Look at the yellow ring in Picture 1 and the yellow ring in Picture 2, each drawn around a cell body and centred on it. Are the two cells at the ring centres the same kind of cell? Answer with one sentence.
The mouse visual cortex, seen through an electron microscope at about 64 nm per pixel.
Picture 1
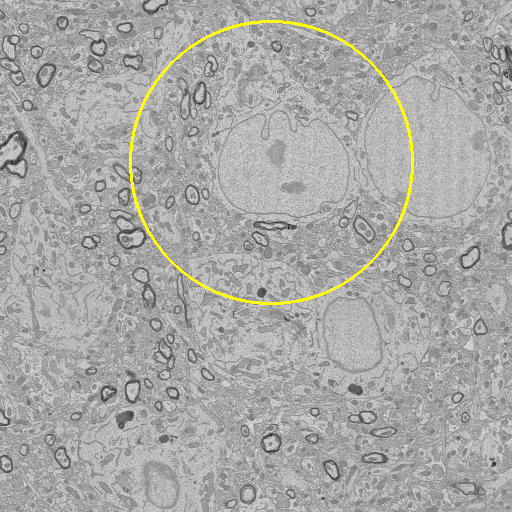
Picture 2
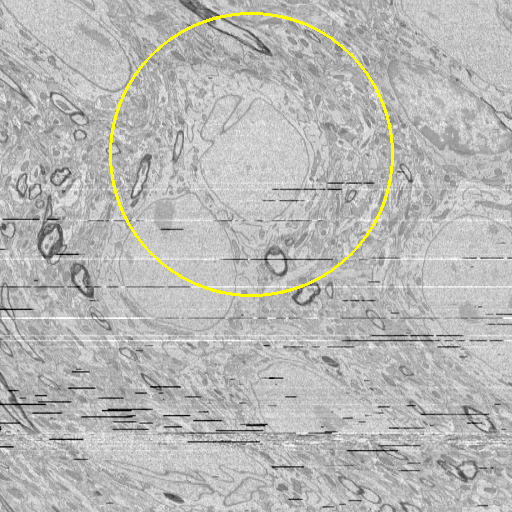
Yes, both are the same kind of cell.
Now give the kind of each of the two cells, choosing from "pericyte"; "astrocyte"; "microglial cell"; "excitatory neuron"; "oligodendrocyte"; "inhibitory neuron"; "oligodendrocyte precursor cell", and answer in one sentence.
Each of the two rings is centred on an excitatory neuron.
